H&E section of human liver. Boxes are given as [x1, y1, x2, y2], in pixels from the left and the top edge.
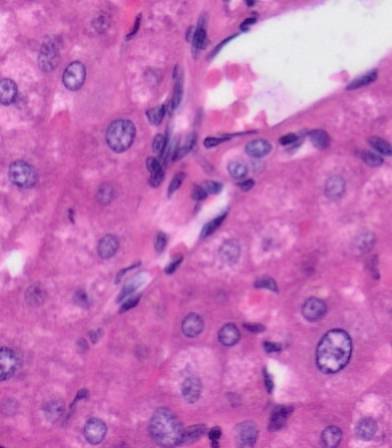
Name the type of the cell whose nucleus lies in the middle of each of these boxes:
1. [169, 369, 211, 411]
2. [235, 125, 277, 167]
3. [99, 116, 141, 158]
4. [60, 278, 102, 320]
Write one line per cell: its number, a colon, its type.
1: hepatocyte
2: cholangiocyte
3: hepatocyte
4: hepatocyte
